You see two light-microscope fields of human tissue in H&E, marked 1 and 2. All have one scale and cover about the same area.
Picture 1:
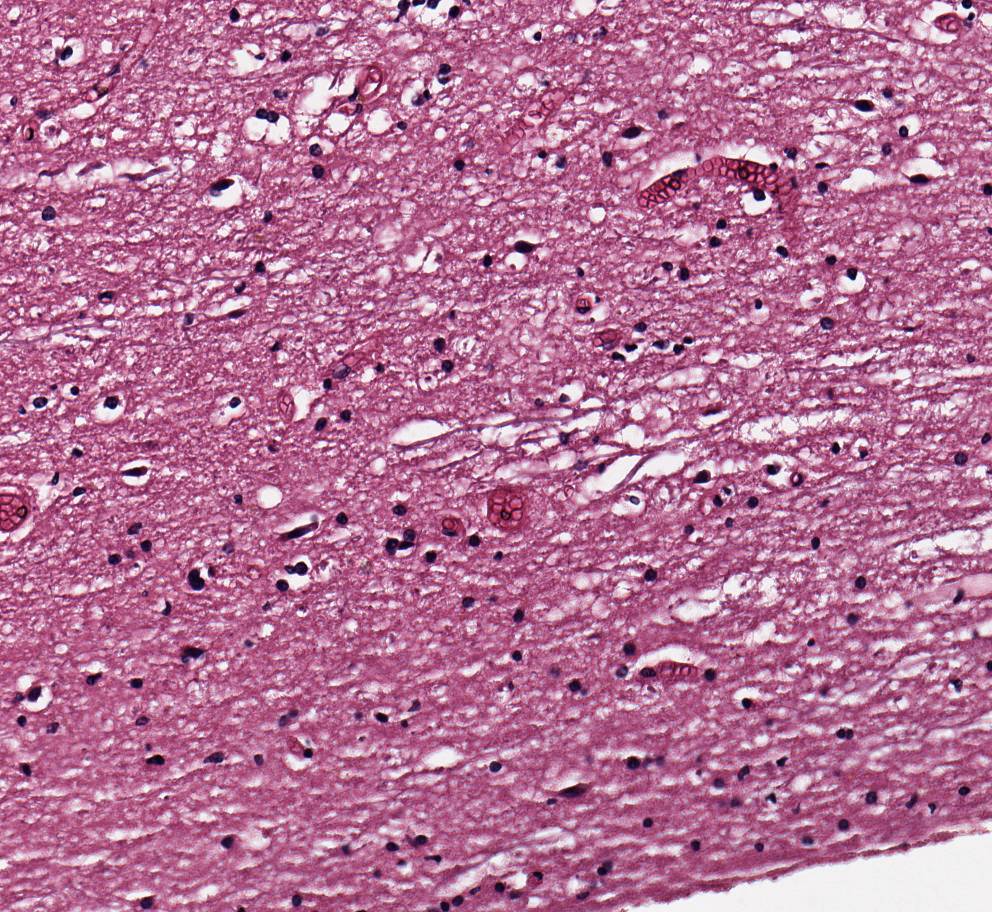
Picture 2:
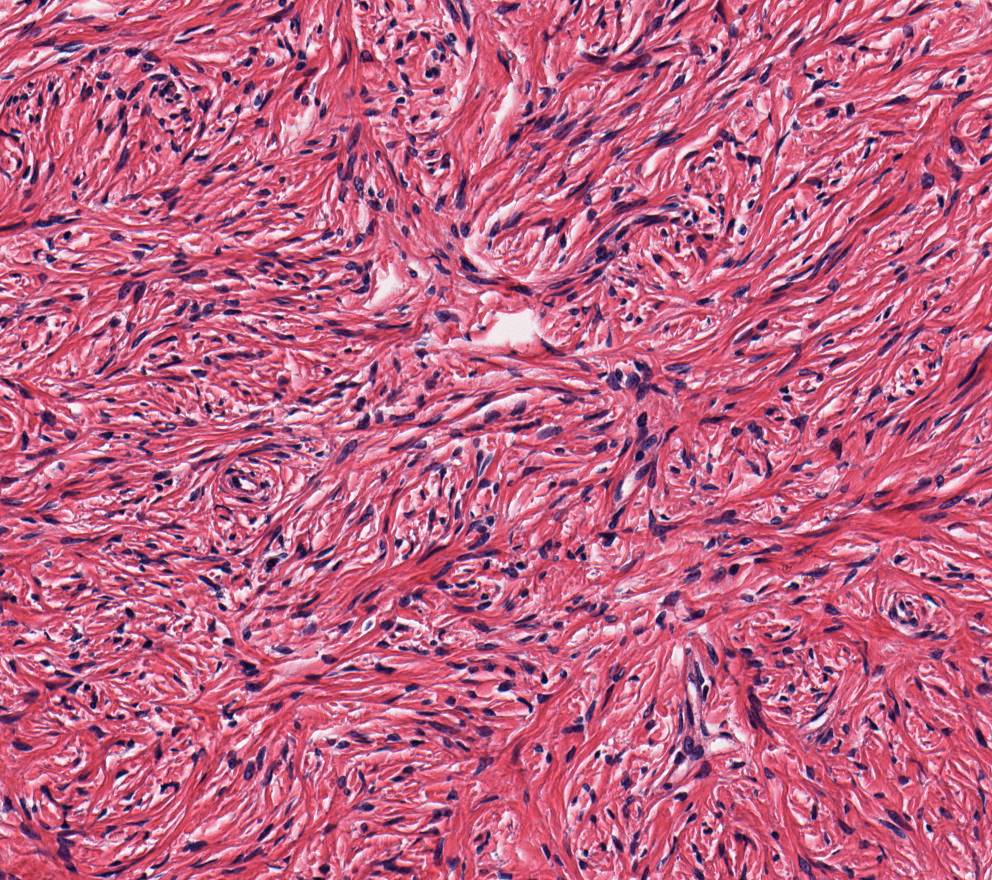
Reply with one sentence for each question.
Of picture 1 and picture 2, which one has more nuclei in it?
Picture 2 holds more nuclei than picture 1.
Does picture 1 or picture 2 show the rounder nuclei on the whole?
On the whole the nuclei of picture 1 are rounder than those of picture 2.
